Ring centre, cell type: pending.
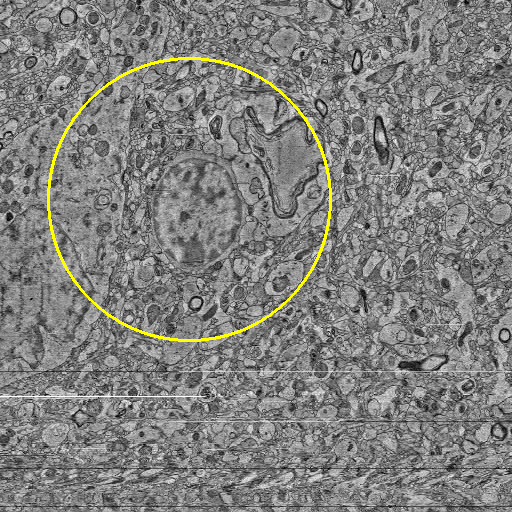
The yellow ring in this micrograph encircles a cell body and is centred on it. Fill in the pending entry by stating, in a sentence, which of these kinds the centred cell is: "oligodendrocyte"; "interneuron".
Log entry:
The centred cell is recorded as an oligodendrocyte.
